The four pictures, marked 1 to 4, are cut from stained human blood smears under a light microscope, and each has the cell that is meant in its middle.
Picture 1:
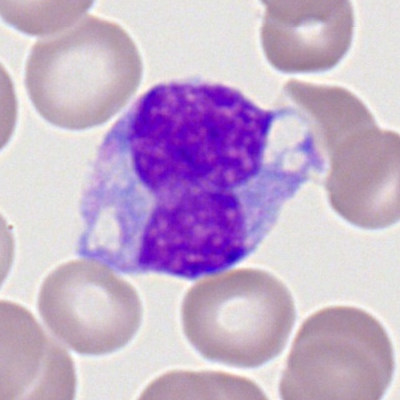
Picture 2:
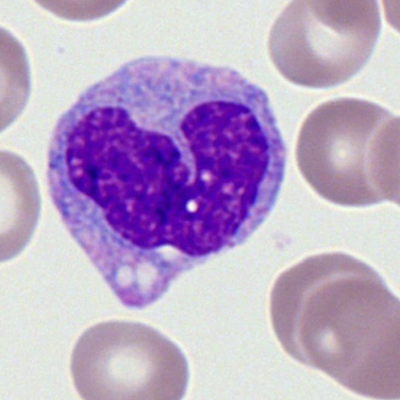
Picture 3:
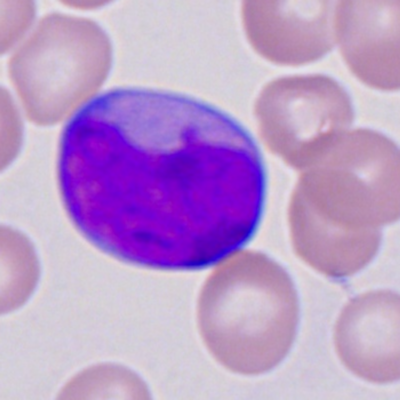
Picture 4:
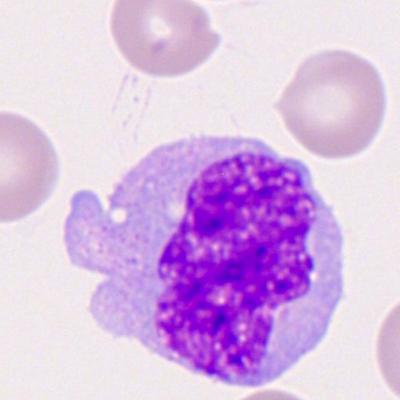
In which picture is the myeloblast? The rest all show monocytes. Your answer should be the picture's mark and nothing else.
3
